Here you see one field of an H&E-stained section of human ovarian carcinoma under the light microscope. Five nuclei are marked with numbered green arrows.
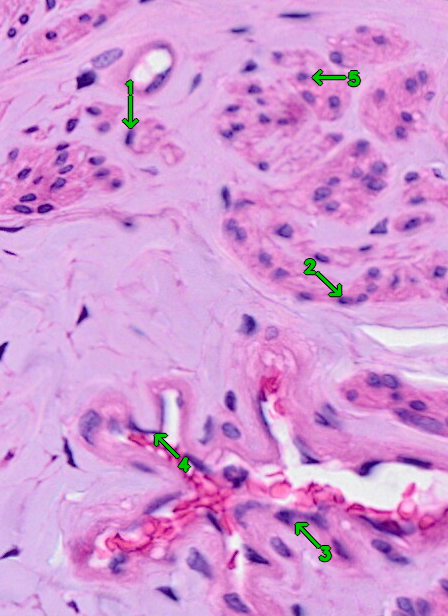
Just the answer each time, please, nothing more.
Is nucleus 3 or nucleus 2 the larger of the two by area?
3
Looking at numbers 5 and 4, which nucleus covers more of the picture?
4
